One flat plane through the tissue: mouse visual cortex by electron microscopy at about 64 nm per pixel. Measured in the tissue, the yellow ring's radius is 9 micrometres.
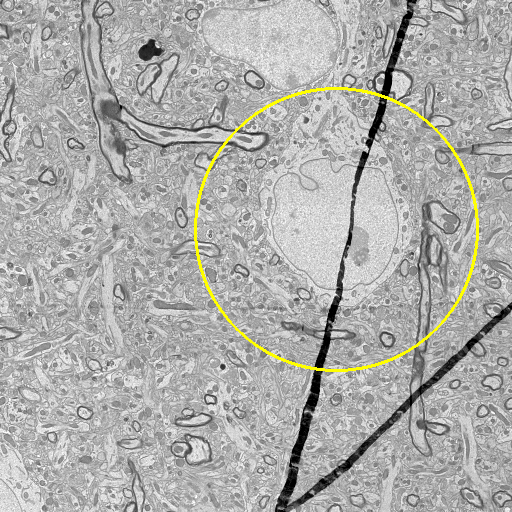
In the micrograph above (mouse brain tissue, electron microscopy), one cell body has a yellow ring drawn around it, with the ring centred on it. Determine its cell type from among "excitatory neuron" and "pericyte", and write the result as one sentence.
The cell whose body is ringed is an excitatory neuron.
